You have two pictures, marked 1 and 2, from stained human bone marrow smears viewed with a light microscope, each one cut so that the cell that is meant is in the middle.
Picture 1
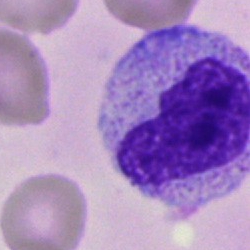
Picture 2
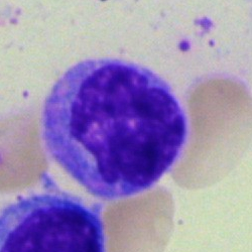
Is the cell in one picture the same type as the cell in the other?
no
